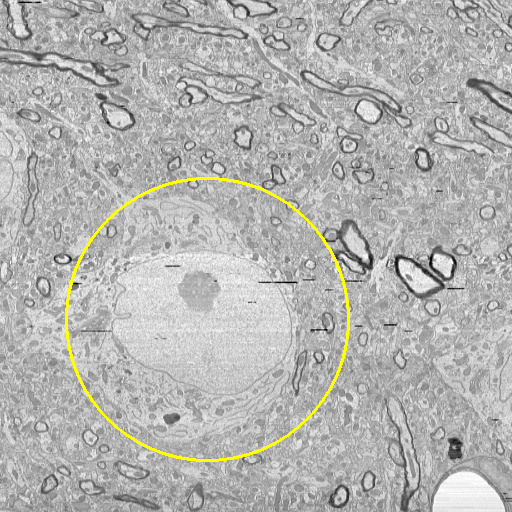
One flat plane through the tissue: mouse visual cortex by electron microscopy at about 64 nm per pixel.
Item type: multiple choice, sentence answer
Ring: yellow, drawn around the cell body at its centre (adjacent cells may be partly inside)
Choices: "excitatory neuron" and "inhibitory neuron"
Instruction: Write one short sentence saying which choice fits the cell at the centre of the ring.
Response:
This ring is drawn around an excitatory neuron.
